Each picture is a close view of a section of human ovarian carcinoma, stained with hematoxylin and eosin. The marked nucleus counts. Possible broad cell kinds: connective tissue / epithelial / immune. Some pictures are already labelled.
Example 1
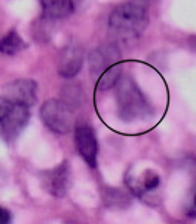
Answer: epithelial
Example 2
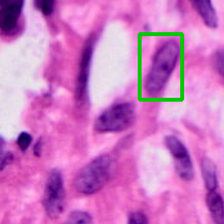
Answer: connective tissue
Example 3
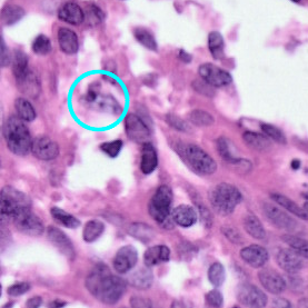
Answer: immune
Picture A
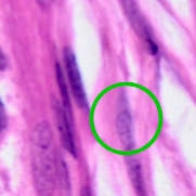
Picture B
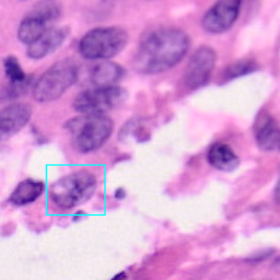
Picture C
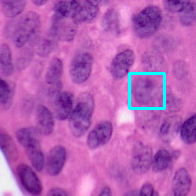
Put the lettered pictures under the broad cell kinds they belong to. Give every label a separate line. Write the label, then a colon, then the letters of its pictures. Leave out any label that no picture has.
connective tissue: A
epithelial: C
immune: B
